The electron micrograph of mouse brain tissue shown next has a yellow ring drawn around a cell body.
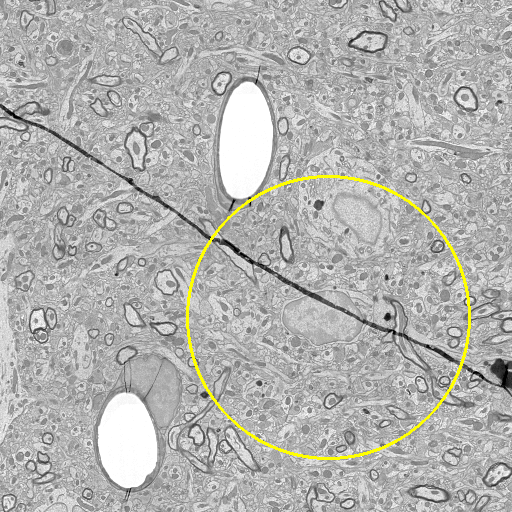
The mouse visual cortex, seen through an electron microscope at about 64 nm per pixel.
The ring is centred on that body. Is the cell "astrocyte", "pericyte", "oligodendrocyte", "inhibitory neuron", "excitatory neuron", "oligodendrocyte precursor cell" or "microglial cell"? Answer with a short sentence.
The cell in question is a microglial cell.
